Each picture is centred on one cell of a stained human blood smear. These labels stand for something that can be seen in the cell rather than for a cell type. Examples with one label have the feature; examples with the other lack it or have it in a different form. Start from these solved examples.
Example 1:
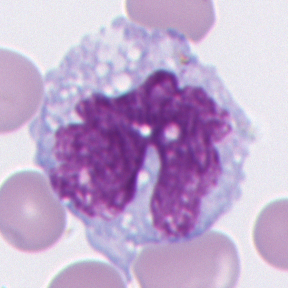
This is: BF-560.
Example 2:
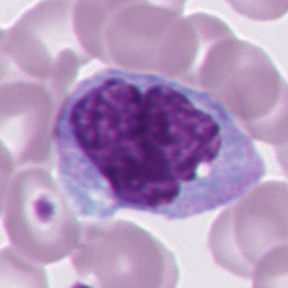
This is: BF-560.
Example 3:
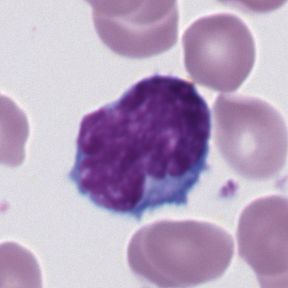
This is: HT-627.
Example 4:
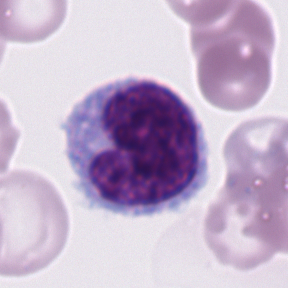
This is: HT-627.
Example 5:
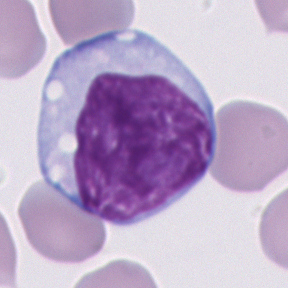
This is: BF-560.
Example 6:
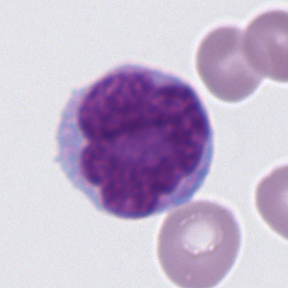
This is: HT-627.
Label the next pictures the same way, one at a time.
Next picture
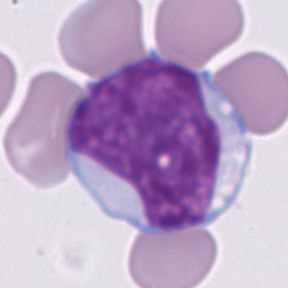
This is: BF-560.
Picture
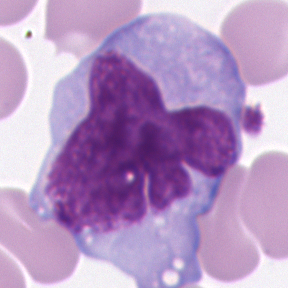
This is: BF-560.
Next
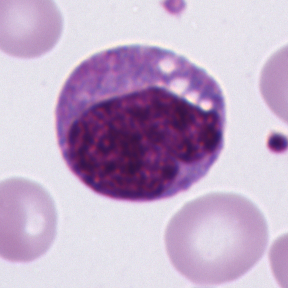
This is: BF-560.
